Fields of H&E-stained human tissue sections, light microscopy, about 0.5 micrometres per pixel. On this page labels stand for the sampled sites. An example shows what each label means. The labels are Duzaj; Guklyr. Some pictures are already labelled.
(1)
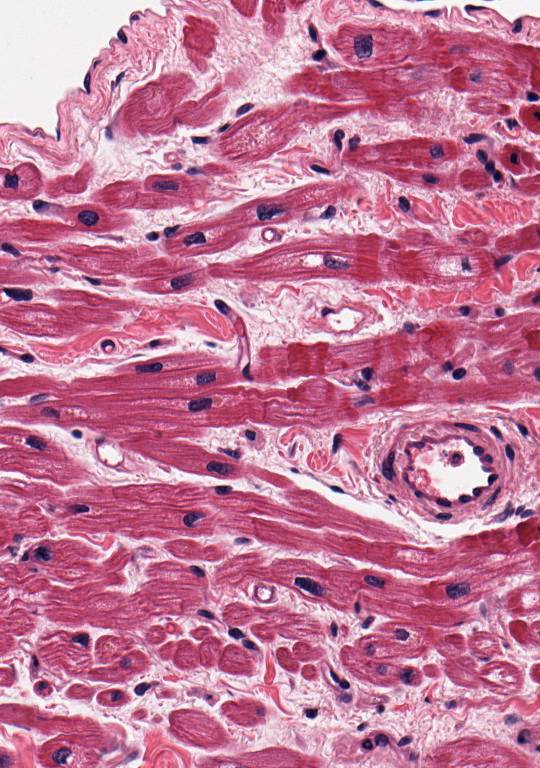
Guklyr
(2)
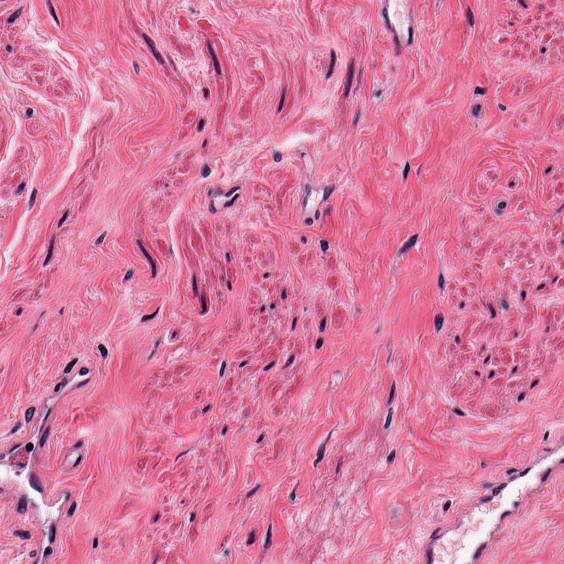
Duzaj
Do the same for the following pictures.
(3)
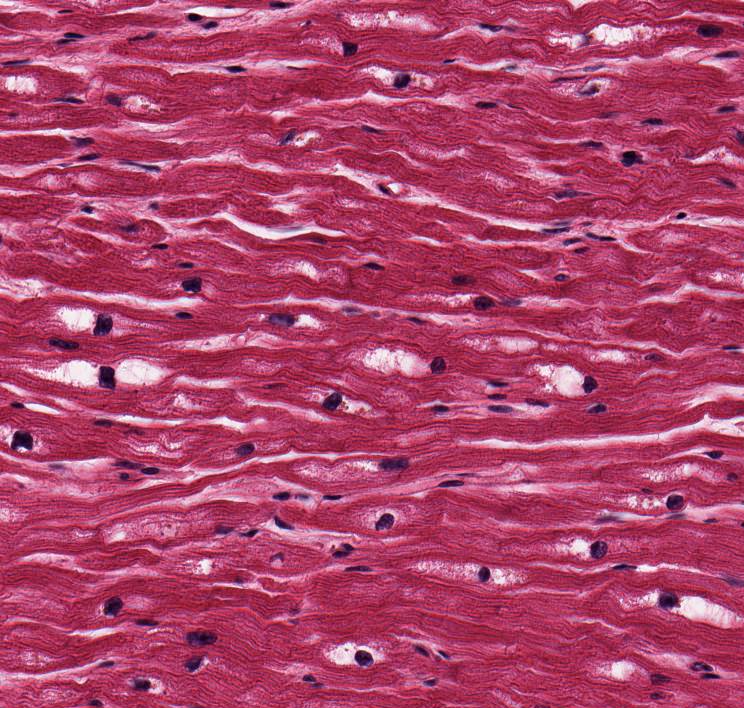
Guklyr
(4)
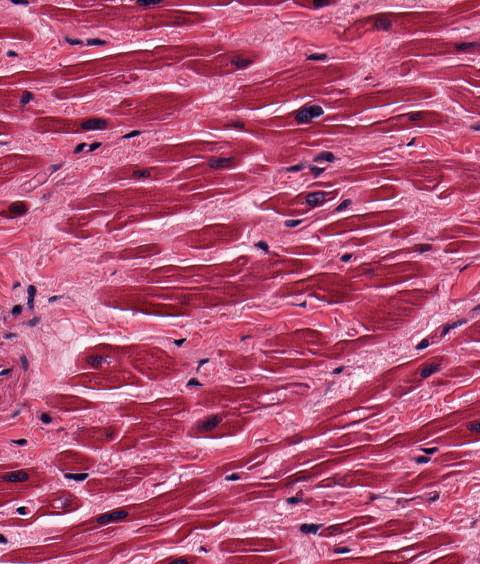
Guklyr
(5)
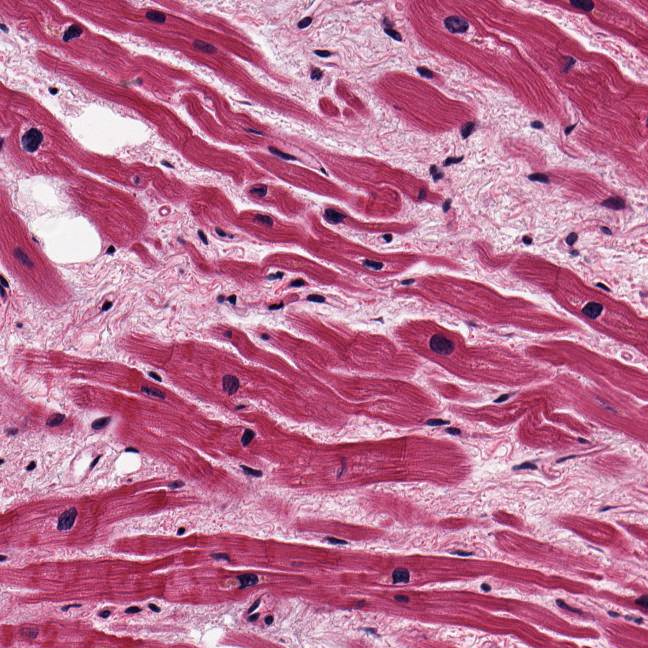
Guklyr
